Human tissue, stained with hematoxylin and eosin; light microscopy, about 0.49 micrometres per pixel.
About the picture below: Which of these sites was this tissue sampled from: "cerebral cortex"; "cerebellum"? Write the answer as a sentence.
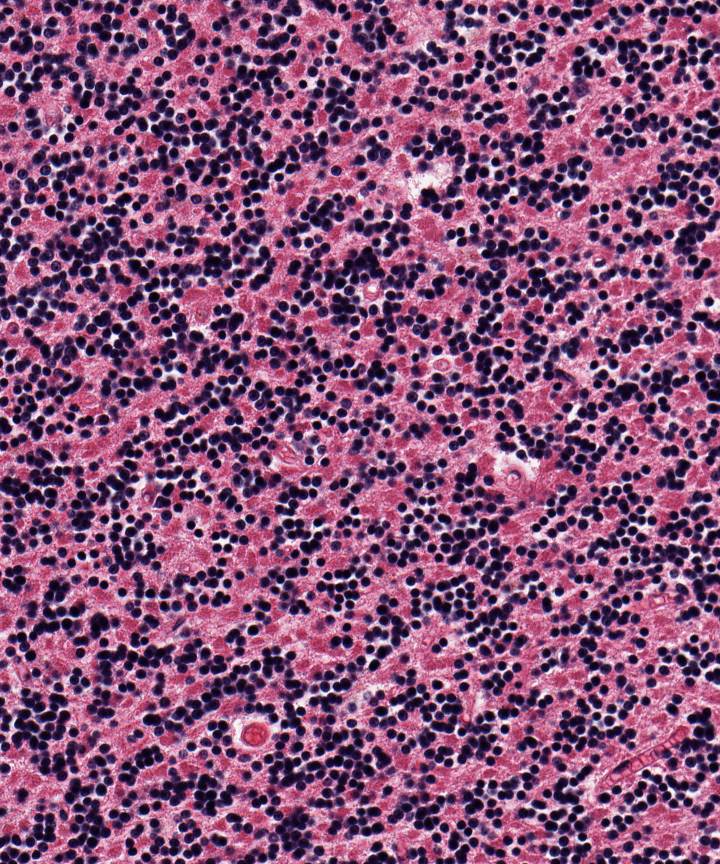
The site this tissue was sampled from is the cerebellum.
